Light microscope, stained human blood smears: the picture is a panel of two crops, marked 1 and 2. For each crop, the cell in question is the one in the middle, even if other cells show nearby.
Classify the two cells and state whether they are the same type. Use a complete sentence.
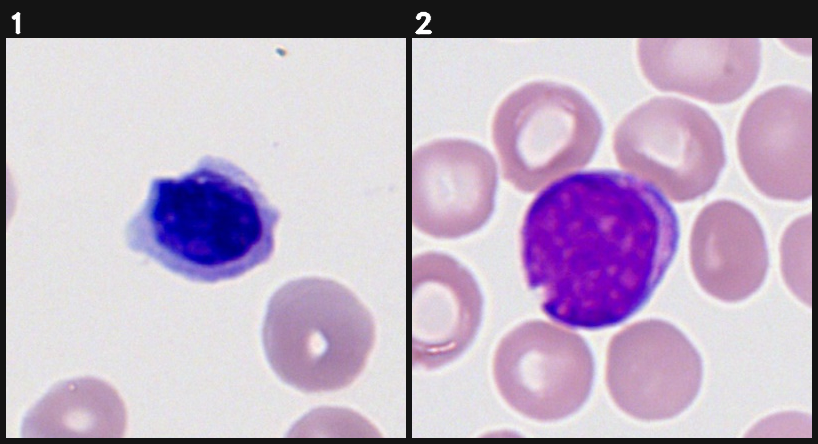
No, crop 1 shows an erythroblast, with a myeloblast shown in crop 2.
